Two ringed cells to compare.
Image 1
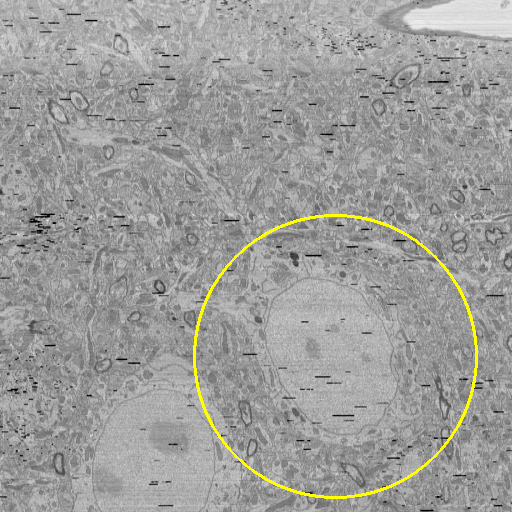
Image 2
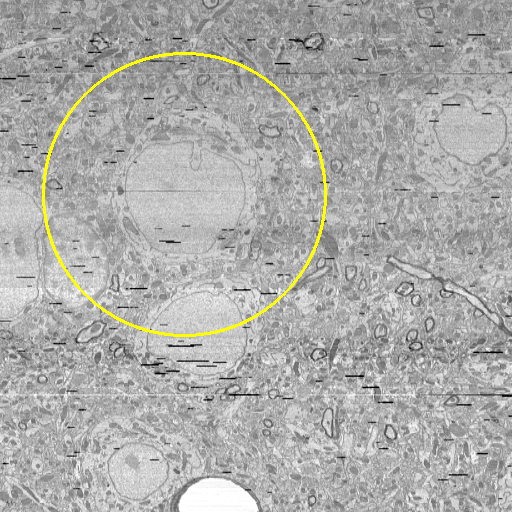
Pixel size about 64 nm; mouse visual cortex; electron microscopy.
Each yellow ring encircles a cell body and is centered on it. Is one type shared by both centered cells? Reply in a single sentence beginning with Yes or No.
Yes, a single type is shared by the two cells at the centers of the rings.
